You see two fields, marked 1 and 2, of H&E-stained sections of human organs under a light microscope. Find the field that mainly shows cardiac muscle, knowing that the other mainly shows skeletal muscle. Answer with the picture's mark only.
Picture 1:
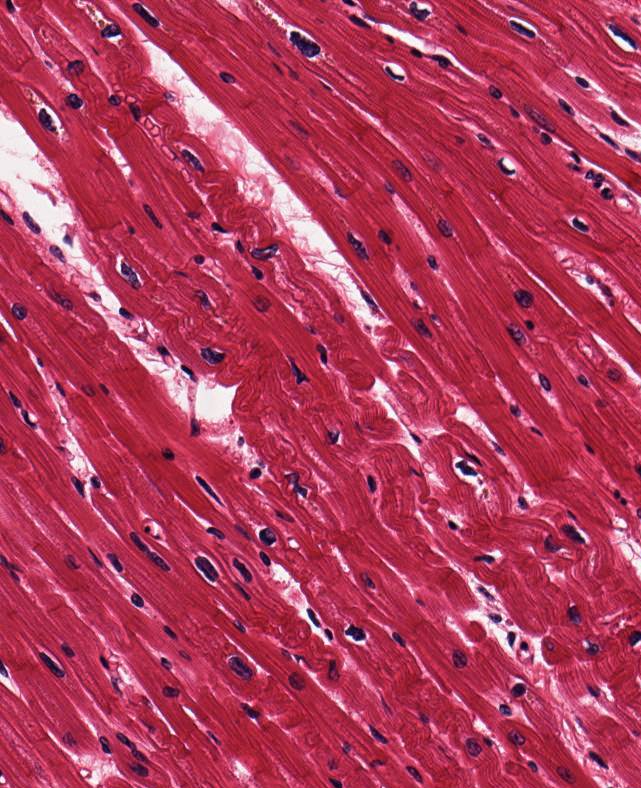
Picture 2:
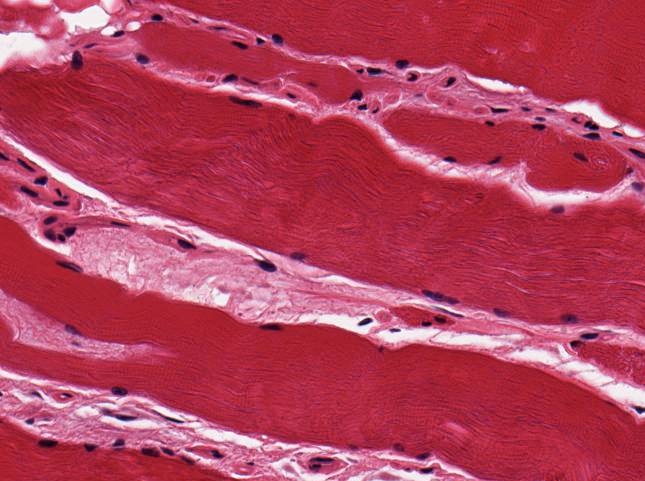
1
